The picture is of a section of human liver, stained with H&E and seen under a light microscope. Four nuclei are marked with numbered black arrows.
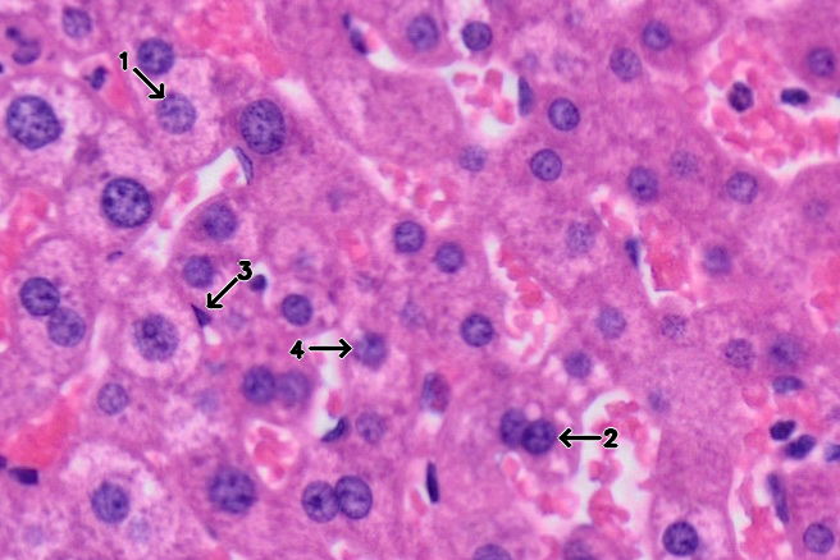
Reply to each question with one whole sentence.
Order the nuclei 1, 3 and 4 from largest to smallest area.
The nuclei rank 1, 4, 3, from largest to smallest.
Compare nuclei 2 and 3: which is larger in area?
It is nucleus 2, which covers about 4 times the area of nucleus 3.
